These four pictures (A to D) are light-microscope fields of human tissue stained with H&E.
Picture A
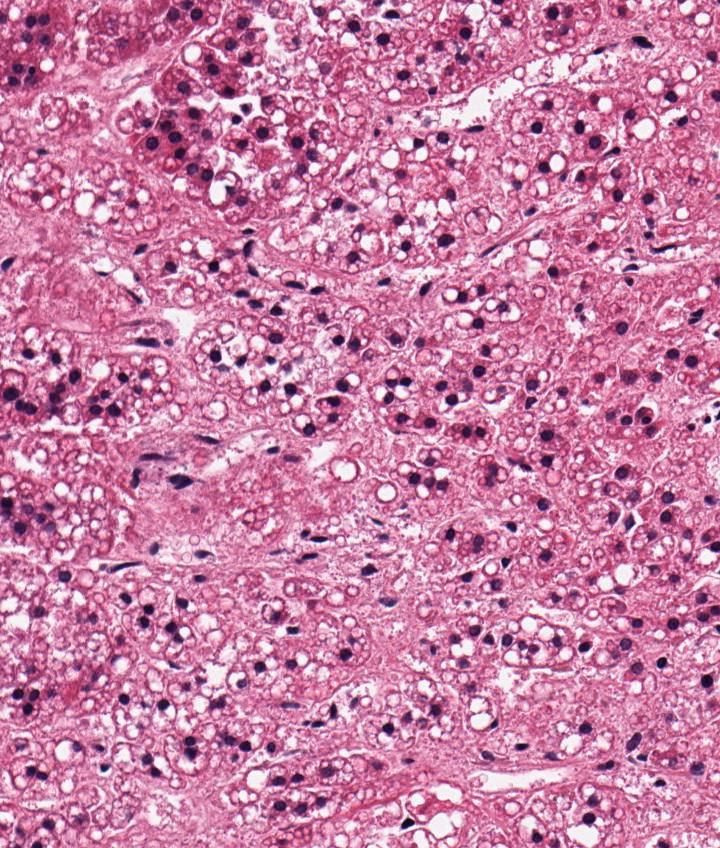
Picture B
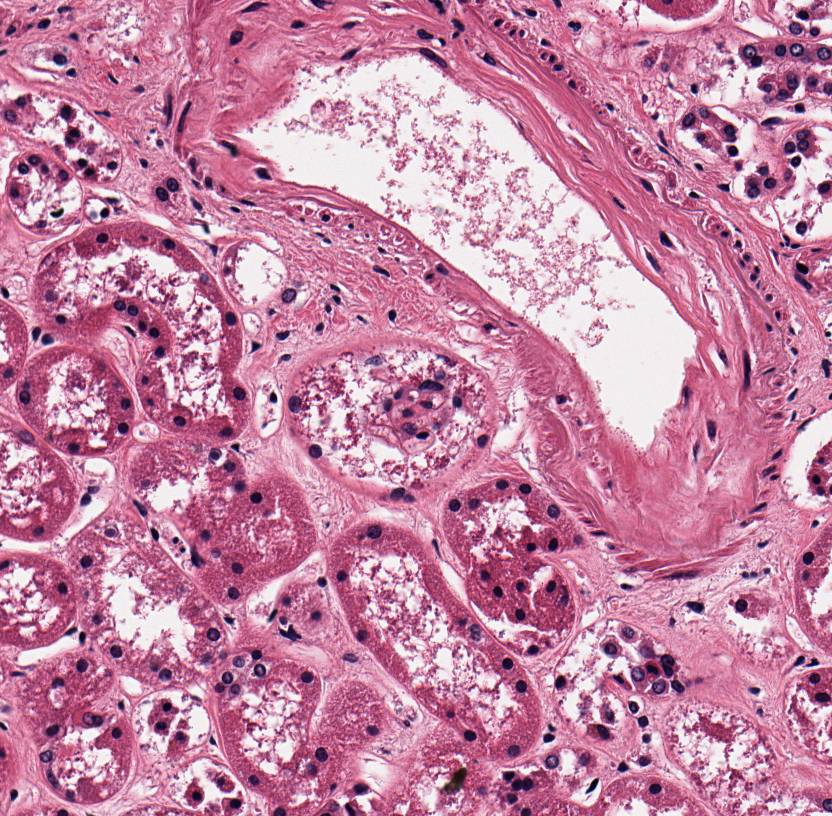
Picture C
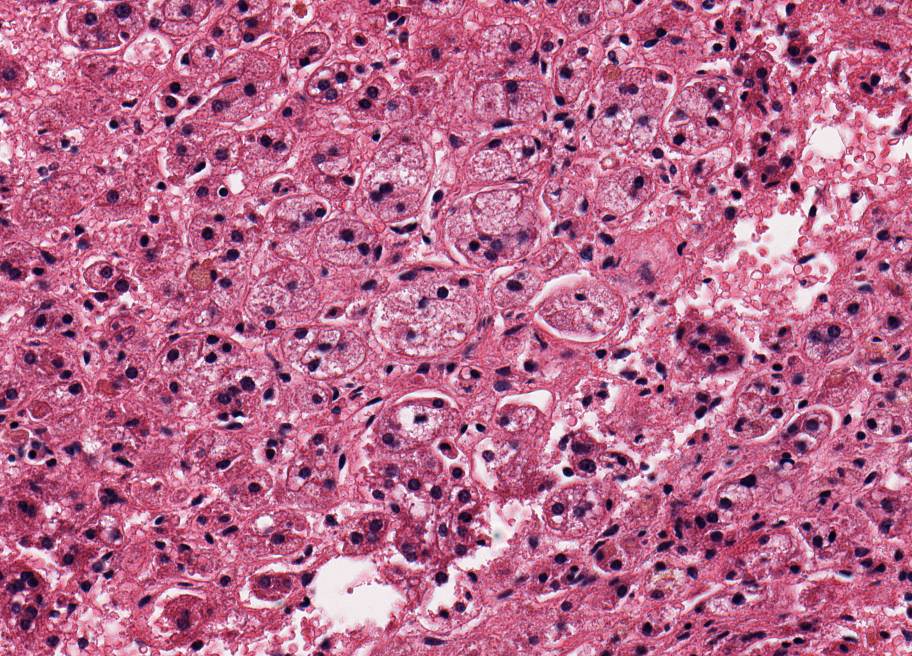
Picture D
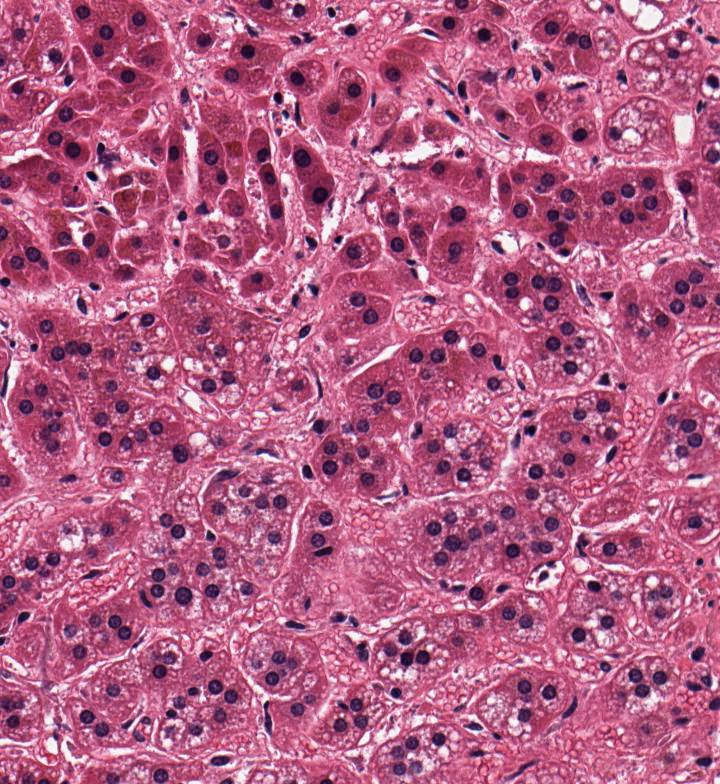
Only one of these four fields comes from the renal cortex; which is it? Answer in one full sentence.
The one that comes from the renal cortex is picture B.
